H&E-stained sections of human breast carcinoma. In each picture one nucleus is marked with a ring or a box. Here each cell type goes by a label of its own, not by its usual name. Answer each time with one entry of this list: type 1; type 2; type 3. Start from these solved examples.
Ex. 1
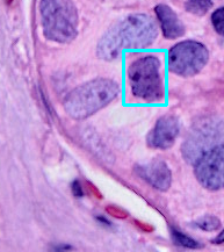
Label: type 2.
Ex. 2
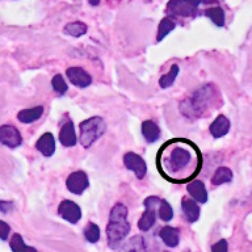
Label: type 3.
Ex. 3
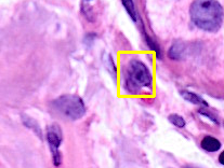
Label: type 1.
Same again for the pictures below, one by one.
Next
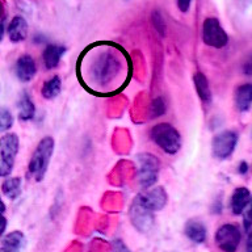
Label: type 1.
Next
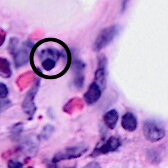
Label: type 3.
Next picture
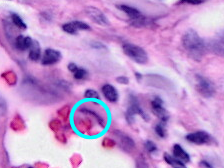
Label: type 1.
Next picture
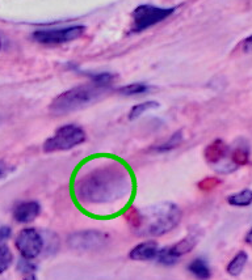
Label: type 1.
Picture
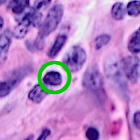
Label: type 3.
